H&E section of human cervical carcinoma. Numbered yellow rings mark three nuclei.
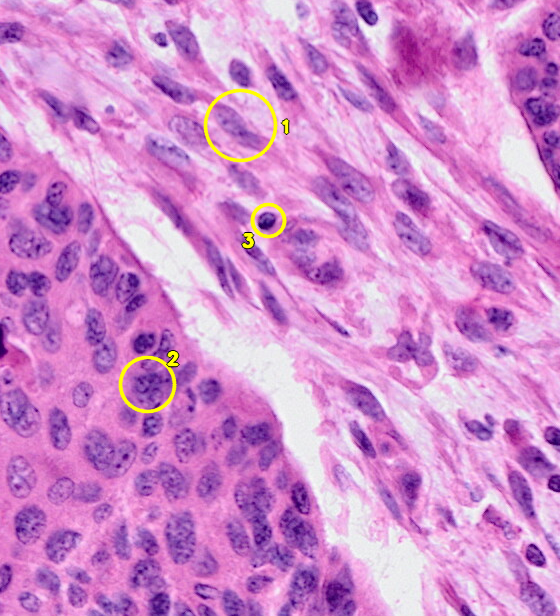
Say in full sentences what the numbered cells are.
Cell 1 is a fibroblast. Cell 2 is a squamous carcinoma cell. Cell 3 is a lymphocyte.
